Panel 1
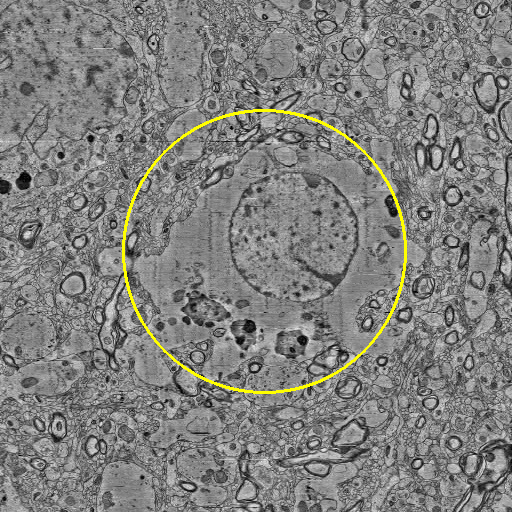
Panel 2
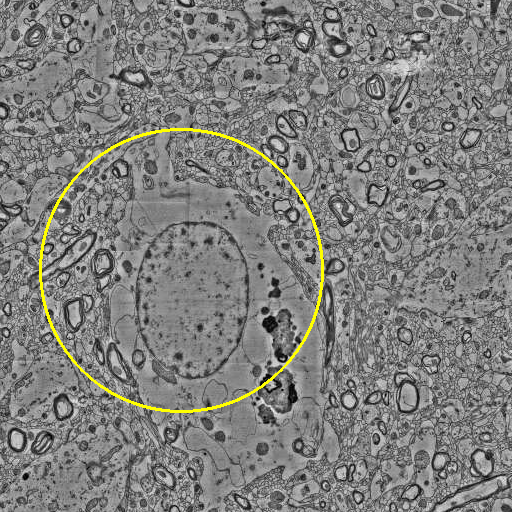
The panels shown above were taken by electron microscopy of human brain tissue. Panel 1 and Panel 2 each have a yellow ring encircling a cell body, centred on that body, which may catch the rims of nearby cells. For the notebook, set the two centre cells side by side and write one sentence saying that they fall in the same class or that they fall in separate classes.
The centred cells of Panel 1 and Panel 2 fall in the same class.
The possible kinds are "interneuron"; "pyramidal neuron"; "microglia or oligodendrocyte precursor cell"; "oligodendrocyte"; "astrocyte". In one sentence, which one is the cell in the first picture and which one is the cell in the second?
Each of the ringed cells, first and second, is an astrocyte.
